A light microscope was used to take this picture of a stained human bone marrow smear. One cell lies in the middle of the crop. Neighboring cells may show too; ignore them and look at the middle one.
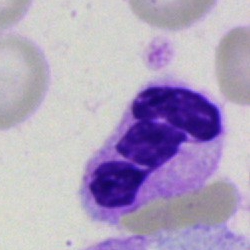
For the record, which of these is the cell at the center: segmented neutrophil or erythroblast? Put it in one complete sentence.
The centered cell in this crop is a segmented neutrophil.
